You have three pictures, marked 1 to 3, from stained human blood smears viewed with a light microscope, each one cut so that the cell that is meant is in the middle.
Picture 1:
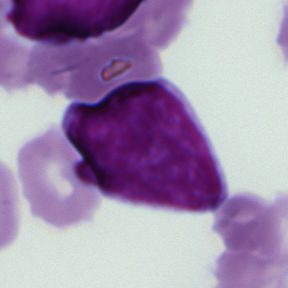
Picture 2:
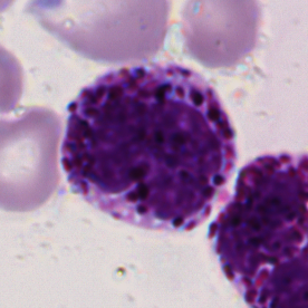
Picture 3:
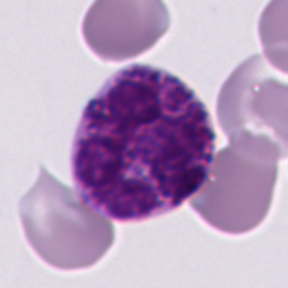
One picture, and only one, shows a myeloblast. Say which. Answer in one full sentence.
The cell in picture 1 is the myeloblast.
